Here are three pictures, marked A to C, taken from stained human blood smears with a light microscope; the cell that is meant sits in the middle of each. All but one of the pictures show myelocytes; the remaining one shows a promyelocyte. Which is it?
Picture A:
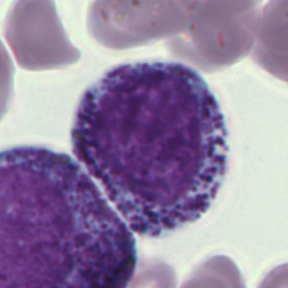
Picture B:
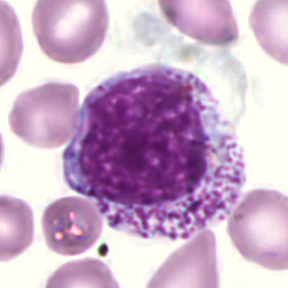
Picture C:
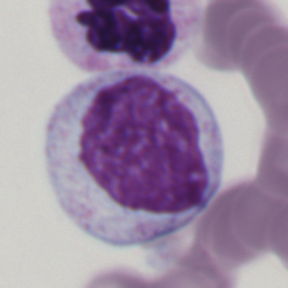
A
